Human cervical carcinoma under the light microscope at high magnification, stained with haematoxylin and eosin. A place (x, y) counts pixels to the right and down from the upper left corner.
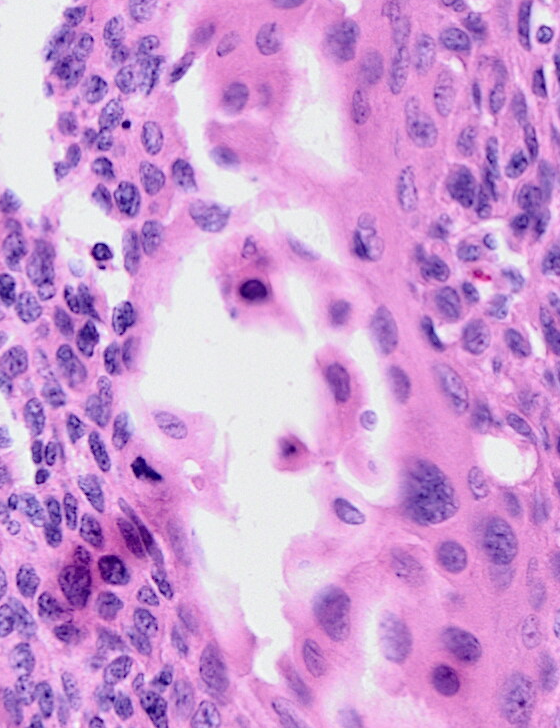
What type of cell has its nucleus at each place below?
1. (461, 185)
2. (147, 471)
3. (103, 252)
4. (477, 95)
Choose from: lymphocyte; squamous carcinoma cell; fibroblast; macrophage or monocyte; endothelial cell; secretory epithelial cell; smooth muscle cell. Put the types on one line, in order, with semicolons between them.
squamous carcinoma cell; squamous carcinoma cell; lymphocyte; squamous carcinoma cell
